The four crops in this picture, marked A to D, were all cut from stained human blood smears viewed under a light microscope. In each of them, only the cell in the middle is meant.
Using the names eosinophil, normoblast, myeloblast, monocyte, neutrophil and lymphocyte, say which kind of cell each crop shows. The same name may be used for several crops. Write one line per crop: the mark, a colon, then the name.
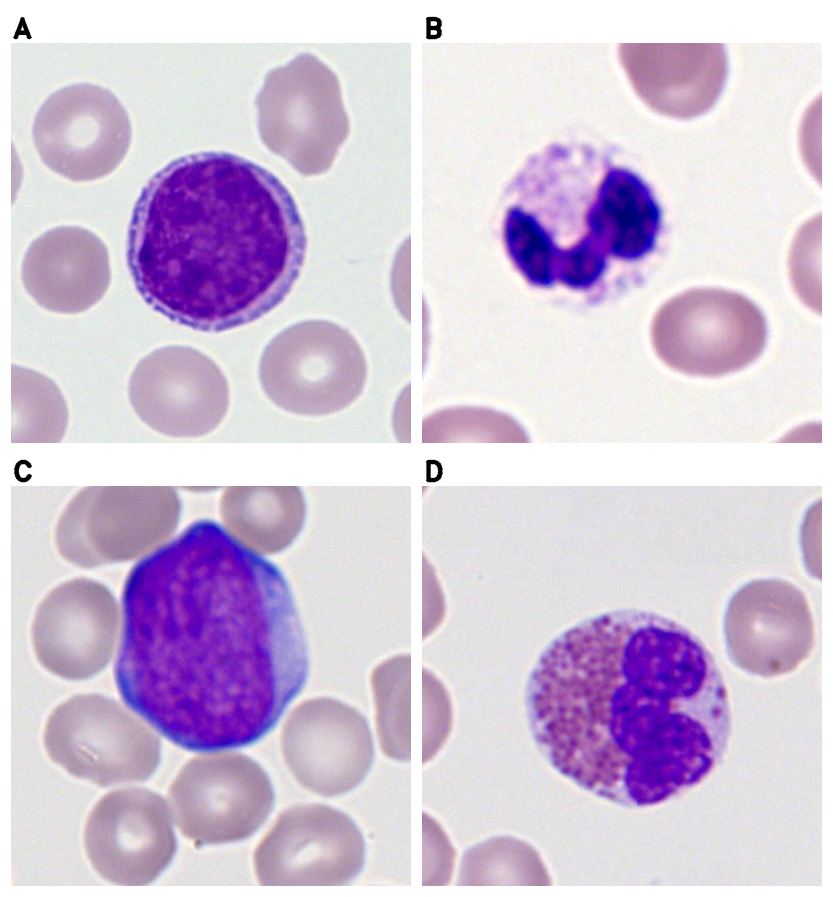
A: myeloblast
B: neutrophil
C: myeloblast
D: eosinophil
